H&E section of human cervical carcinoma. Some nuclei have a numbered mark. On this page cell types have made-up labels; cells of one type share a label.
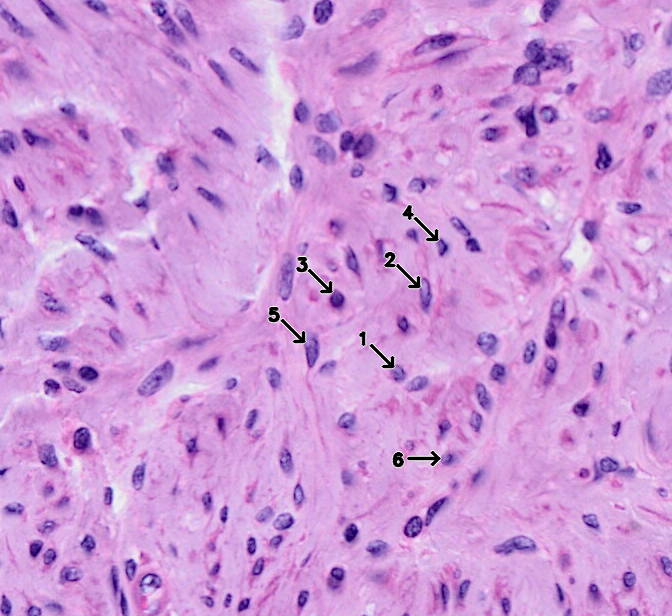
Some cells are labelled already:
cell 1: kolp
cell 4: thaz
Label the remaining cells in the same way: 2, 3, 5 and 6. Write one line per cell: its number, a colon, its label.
2: kolp
3: kolp
5: thaz
6: kolp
